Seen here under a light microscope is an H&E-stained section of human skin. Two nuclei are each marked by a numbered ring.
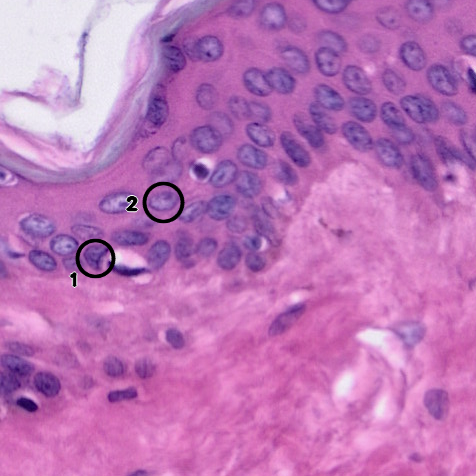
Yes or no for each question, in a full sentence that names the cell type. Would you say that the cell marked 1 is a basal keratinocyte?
Yes, it is a basal keratinocyte that carries the number 1.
